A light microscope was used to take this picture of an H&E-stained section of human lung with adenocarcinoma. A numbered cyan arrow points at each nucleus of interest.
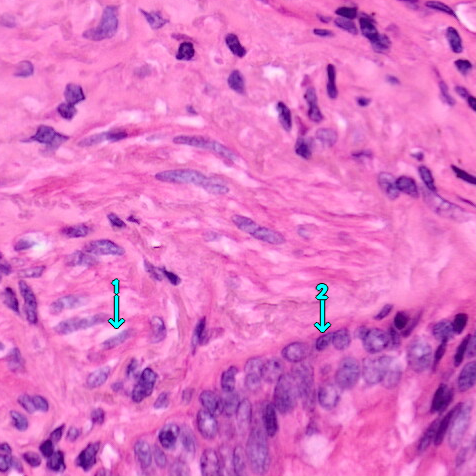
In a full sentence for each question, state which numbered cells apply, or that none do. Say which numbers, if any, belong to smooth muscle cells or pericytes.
Among the cells marked with numbers, the only one that is a smooth muscle cell or pericyte is number 1.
